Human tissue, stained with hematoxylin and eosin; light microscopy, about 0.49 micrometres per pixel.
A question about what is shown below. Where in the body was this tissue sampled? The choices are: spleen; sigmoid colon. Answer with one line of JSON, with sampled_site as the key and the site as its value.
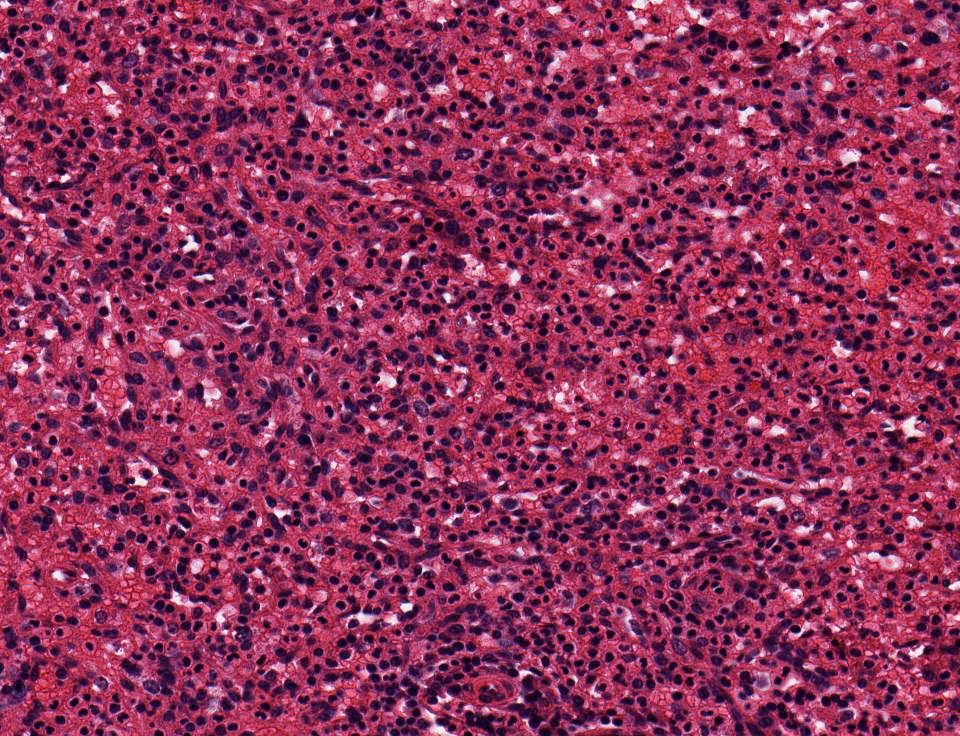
{"sampled_site": "spleen"}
